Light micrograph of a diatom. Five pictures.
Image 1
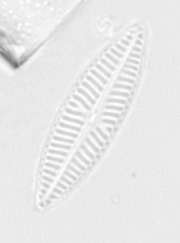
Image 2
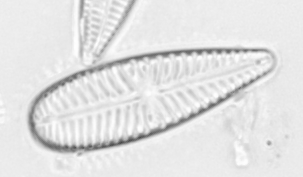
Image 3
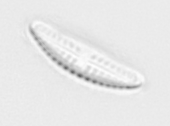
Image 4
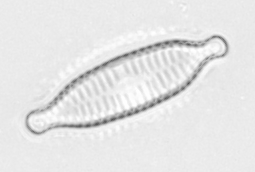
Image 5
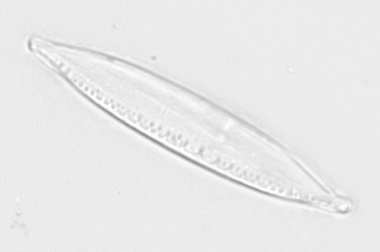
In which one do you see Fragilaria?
In picture 4.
